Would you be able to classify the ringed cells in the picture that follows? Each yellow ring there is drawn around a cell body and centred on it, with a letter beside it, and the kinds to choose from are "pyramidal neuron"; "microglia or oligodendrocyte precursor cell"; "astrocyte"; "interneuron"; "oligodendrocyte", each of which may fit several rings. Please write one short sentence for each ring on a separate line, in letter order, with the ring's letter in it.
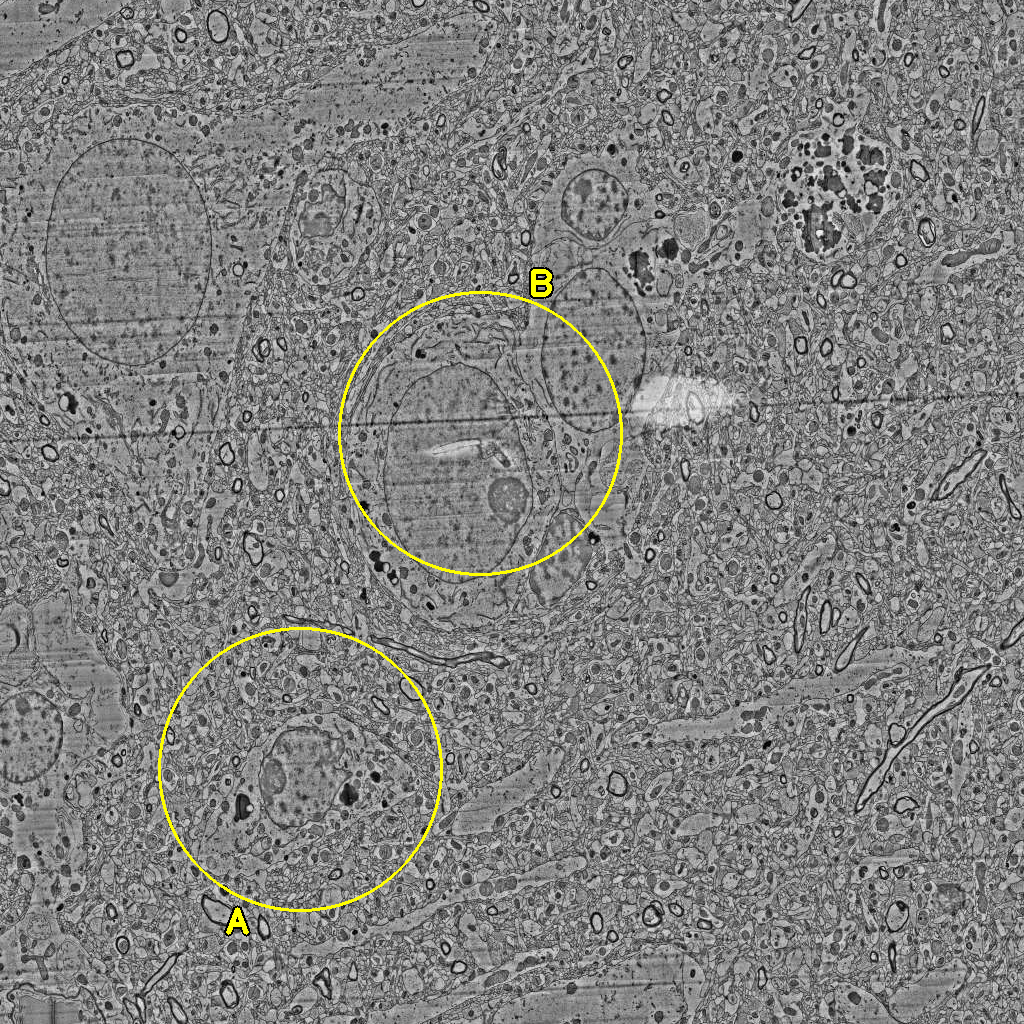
The cell body at the centre of ring A belongs to an interneuron.
The cell body at the centre of ring B belongs to a pyramidal neuron.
